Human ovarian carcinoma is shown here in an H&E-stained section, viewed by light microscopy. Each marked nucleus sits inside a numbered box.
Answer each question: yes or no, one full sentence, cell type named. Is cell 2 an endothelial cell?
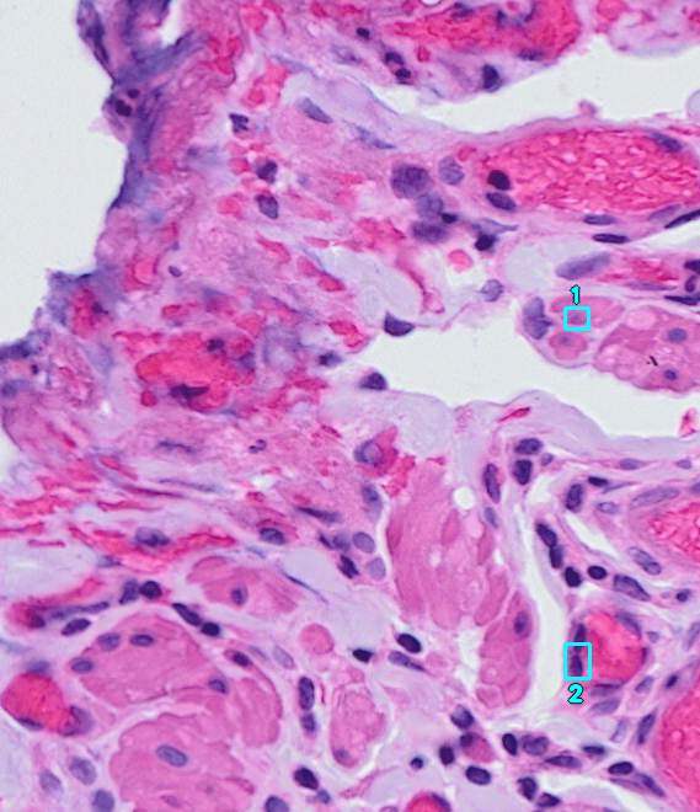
Yes, of the numbered cells, number 2 is an endothelial cell.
